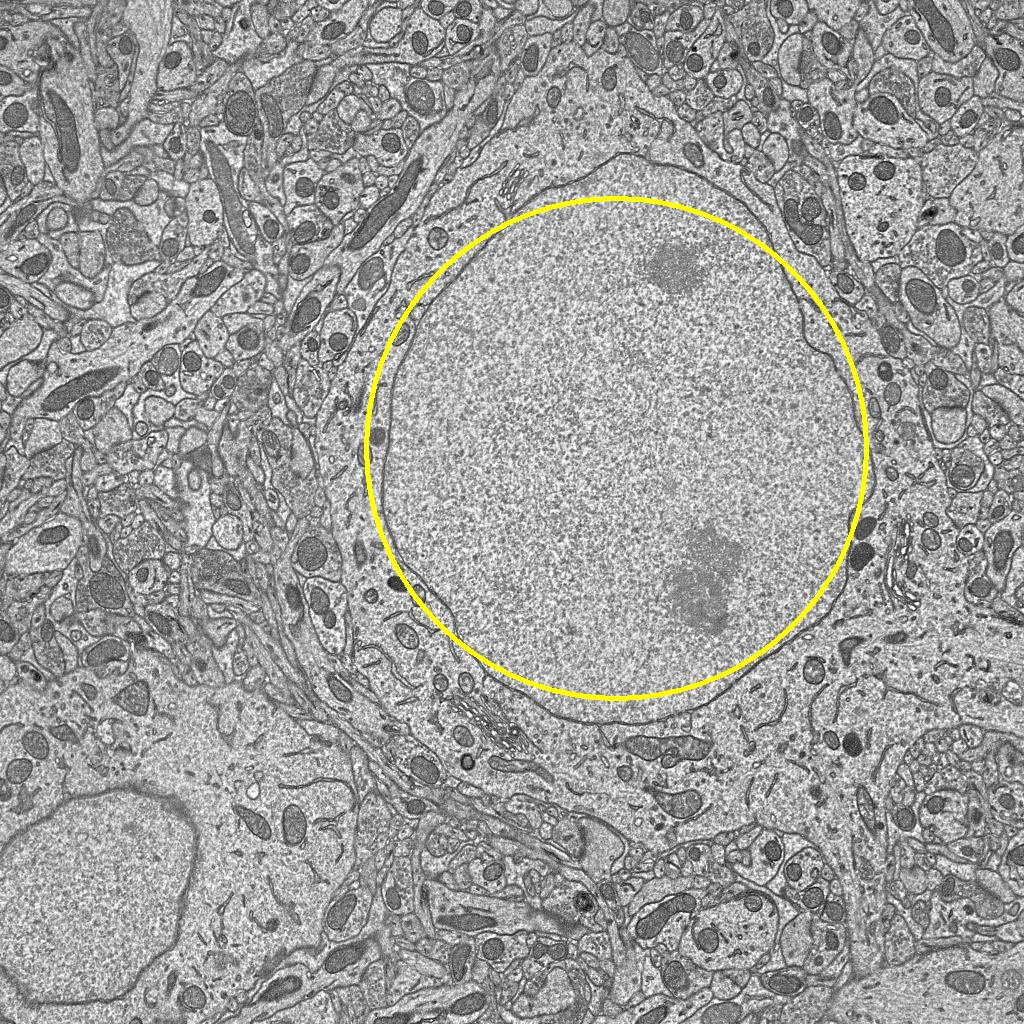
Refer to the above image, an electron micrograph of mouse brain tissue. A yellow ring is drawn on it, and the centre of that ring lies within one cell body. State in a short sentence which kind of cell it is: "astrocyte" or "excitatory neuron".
The centre of the ring falls on an excitatory neuron.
